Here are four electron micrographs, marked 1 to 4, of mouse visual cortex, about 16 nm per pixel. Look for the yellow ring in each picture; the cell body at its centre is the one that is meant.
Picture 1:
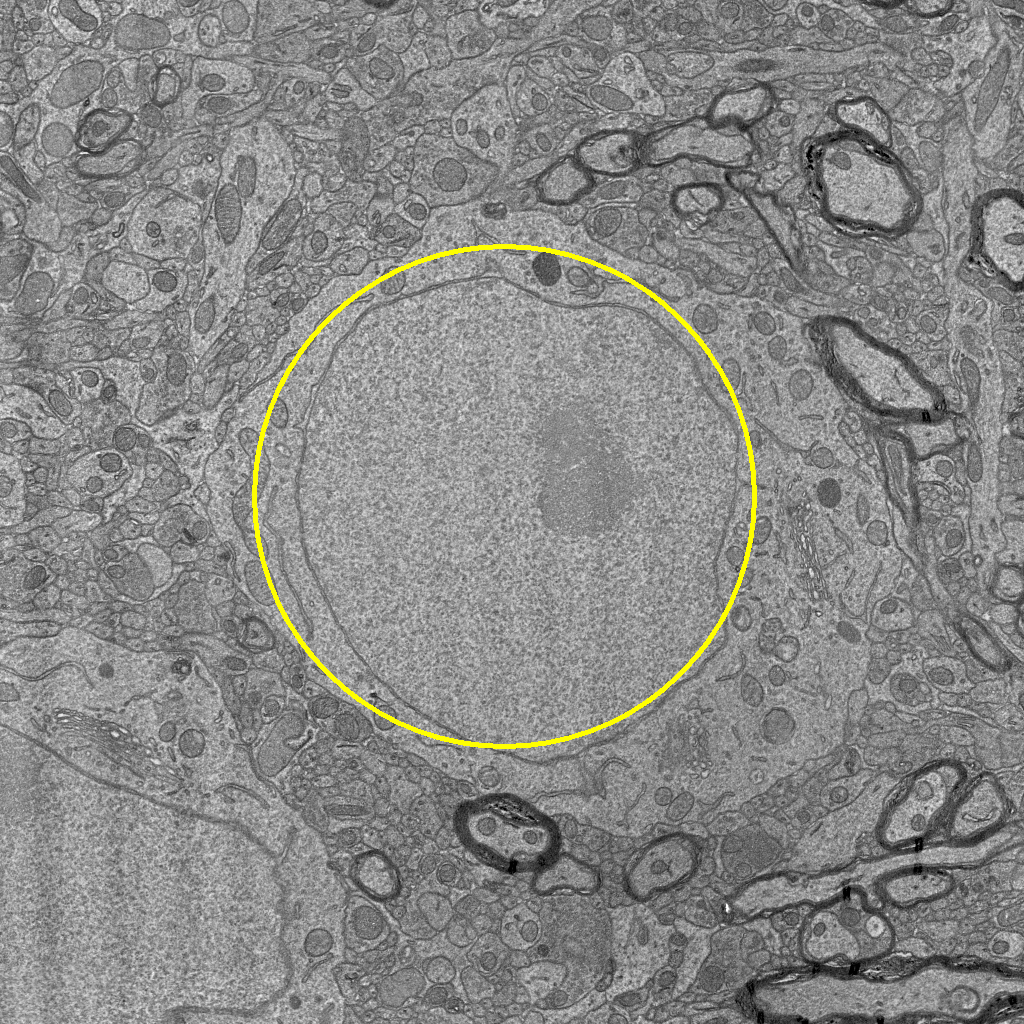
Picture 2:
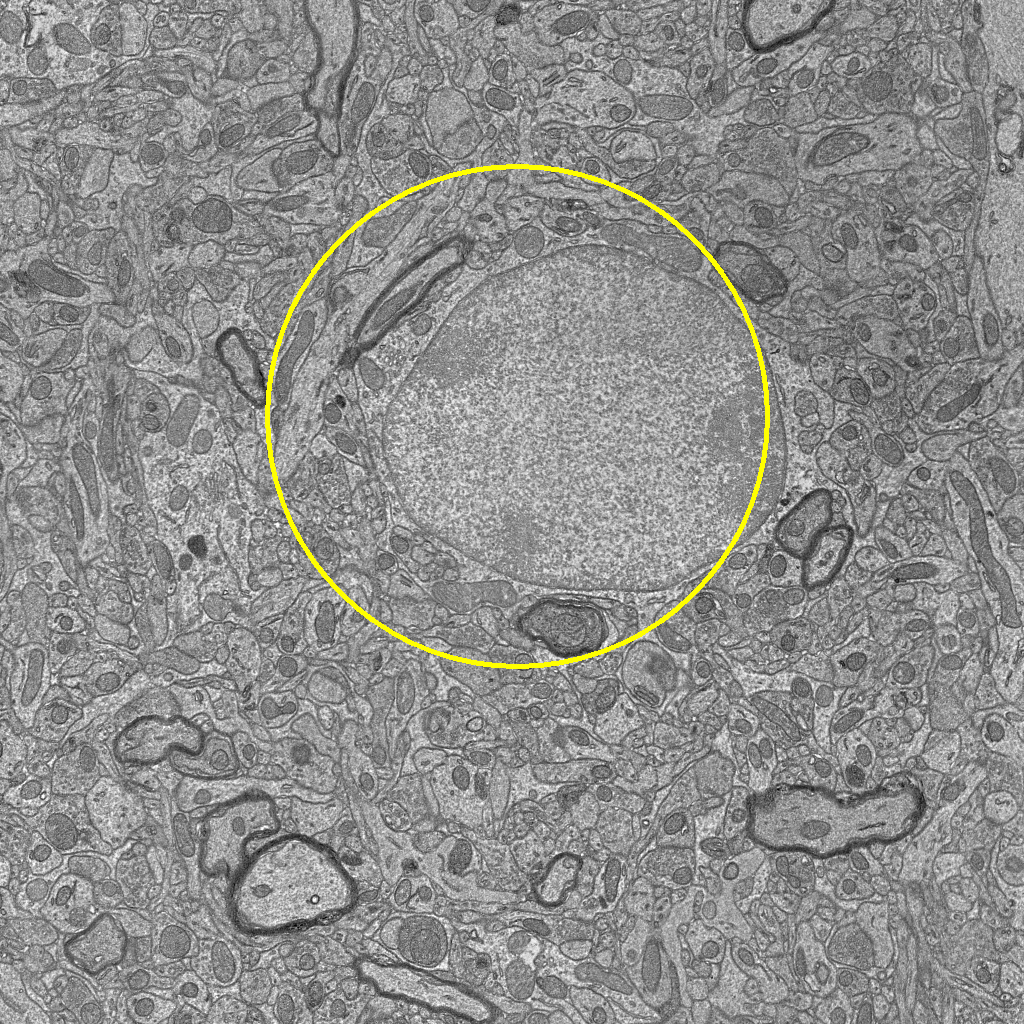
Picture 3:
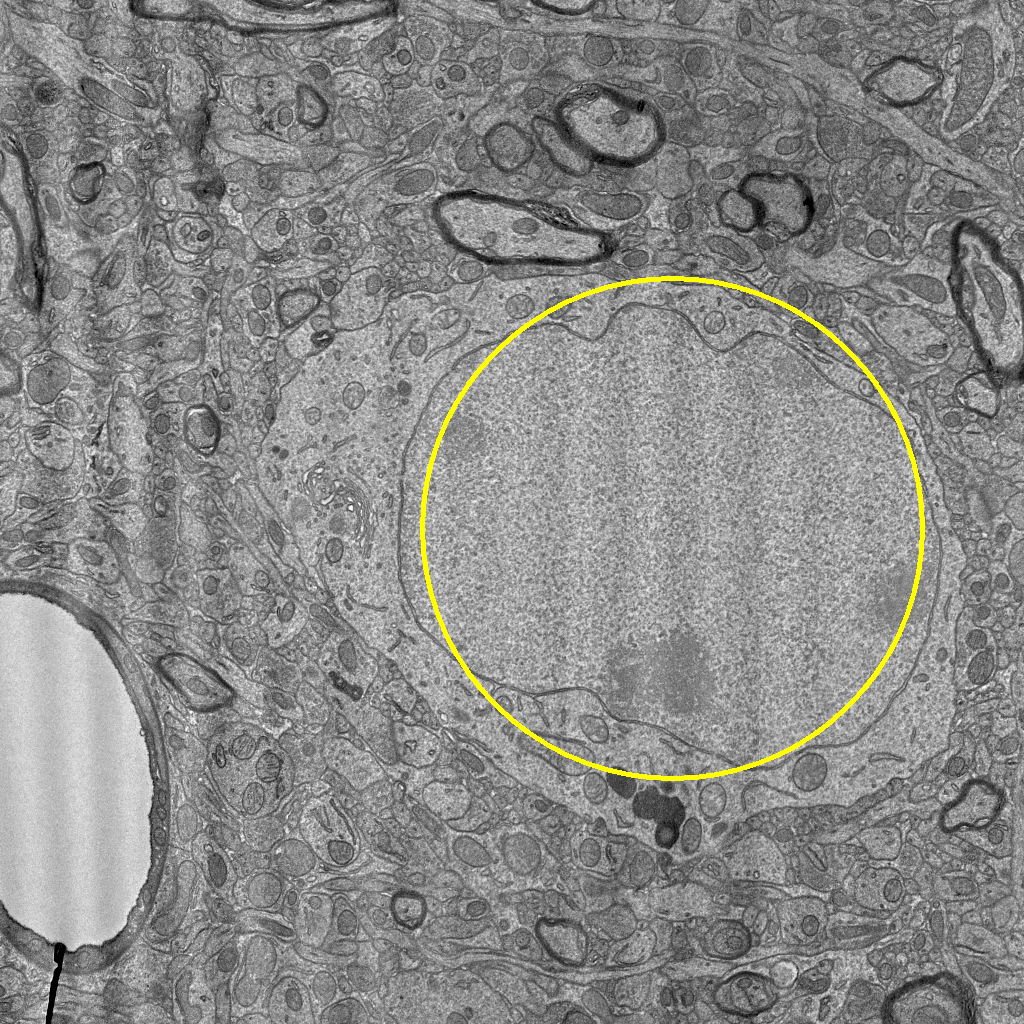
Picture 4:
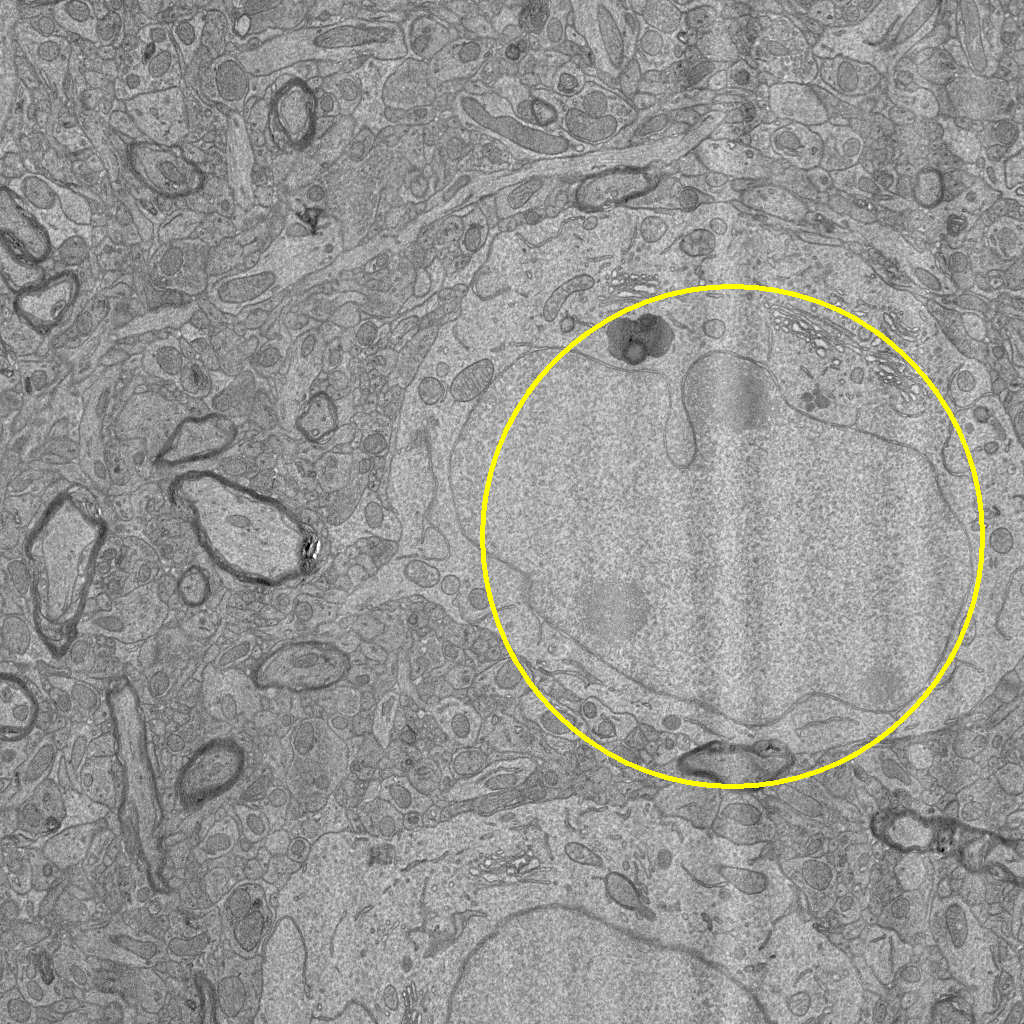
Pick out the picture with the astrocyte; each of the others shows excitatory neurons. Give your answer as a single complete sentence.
Picture 2 is the one that shows the astrocyte.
